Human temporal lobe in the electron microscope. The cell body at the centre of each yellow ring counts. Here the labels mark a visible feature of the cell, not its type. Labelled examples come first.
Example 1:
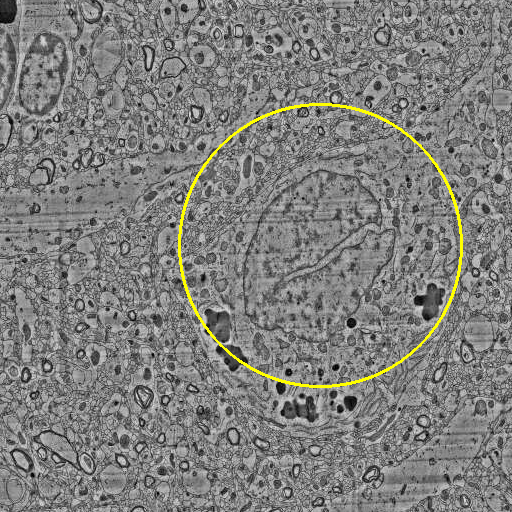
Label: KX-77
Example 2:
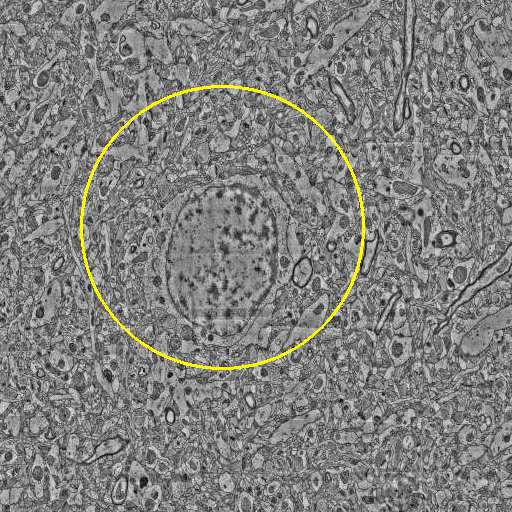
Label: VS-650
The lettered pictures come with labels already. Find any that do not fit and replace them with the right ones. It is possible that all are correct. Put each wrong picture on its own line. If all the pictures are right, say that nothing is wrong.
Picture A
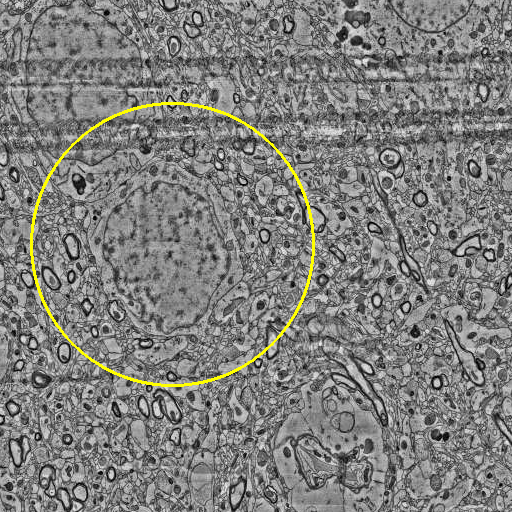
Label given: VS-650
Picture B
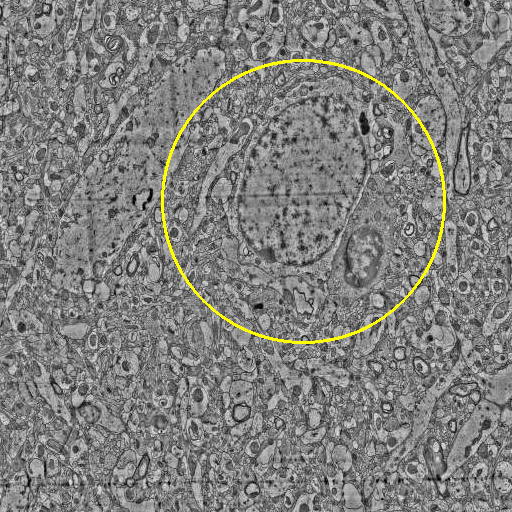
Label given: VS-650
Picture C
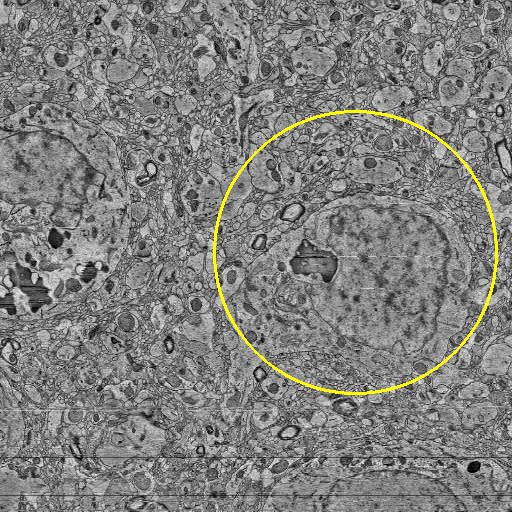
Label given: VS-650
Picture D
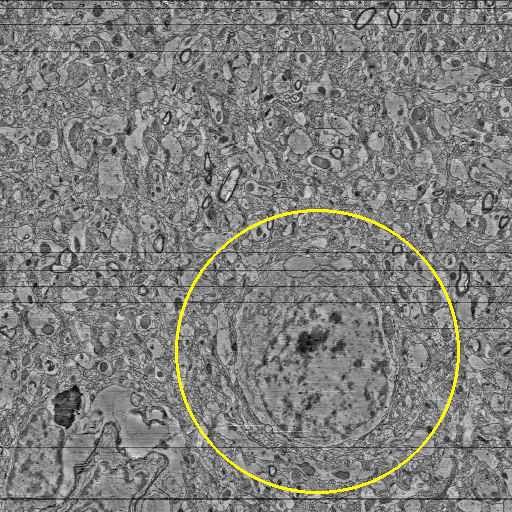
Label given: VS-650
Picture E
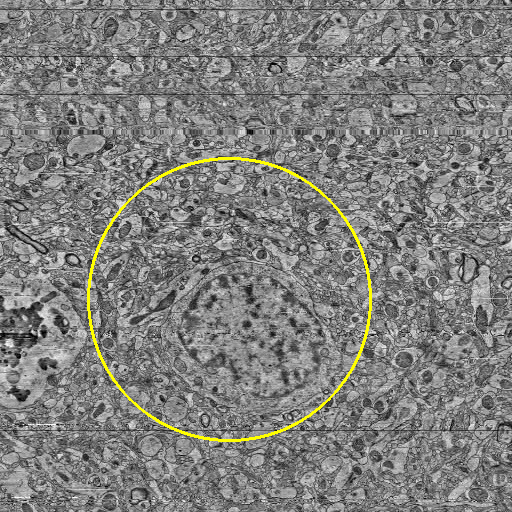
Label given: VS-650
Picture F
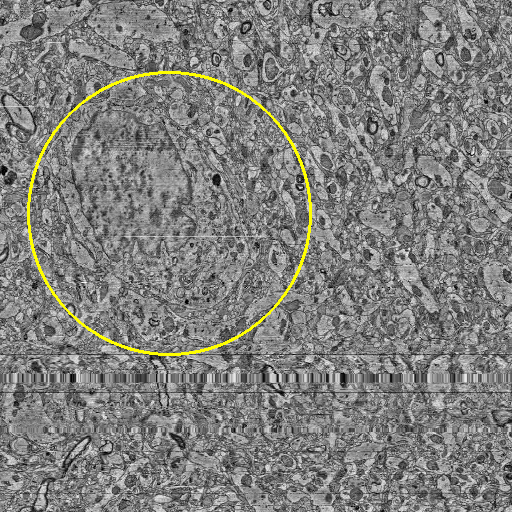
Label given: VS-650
All correct.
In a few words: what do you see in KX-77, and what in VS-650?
KX-77: deeply folded or indented nuclear envelopes; VS-650: smooth nuclear envelopes without deep folds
